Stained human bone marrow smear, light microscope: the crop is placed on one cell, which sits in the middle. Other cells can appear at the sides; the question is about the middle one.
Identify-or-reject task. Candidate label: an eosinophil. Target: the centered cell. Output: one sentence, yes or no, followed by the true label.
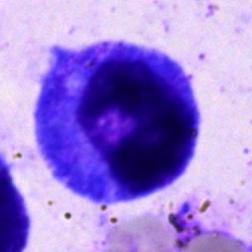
No, the cell sitting in the middle is a promyelocyte, and it is not an eosinophil.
